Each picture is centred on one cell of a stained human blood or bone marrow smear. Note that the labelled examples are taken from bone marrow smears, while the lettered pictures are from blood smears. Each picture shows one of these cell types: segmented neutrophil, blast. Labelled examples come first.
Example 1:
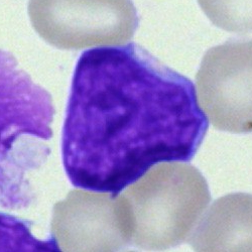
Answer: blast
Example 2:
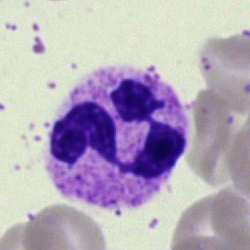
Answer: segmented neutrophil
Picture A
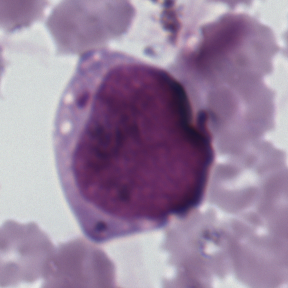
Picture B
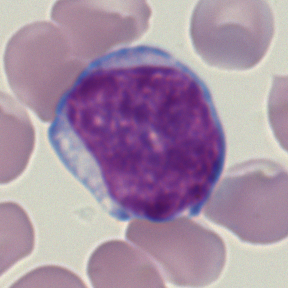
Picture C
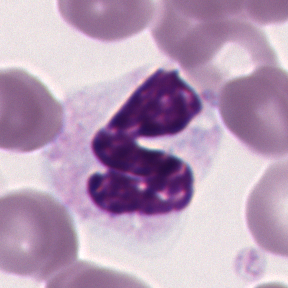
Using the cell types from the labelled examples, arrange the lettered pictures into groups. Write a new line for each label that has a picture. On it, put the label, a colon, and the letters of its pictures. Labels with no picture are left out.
segmented neutrophil: C
blast: A, B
